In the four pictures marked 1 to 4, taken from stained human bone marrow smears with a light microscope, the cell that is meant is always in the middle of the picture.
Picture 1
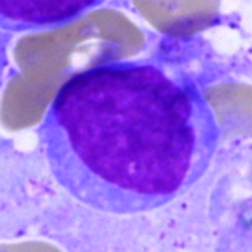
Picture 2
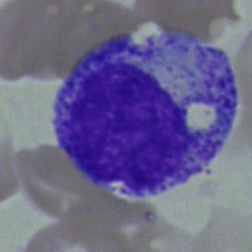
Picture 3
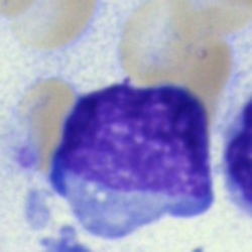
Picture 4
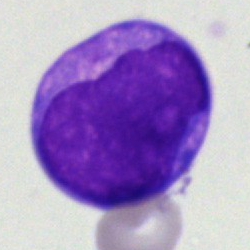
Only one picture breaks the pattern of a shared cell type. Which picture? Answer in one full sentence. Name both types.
The different one is picture 2; it shows a myelocyte, whereas all the others show blasts.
